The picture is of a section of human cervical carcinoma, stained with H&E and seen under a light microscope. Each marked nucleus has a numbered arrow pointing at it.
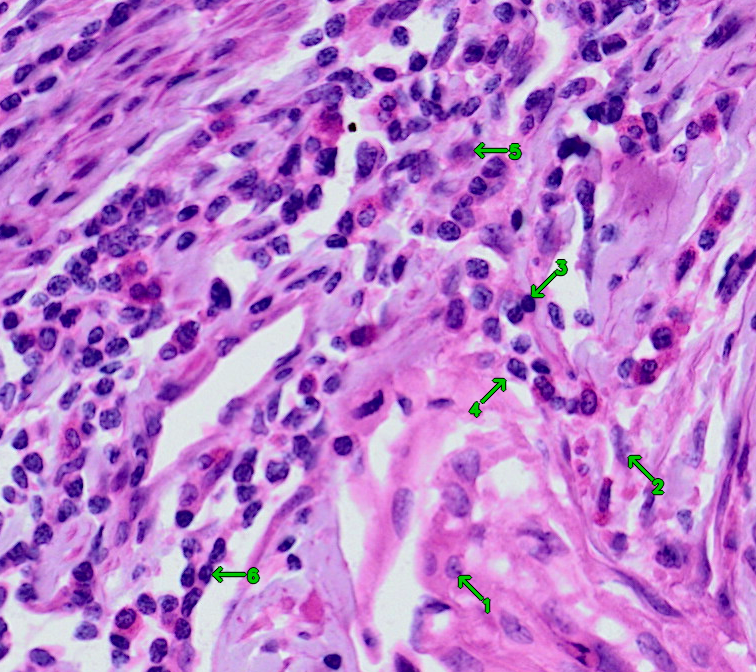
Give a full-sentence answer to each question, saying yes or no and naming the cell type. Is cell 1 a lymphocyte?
No, in terms of cell type, cell 1 is a squamous carcinoma cell, not a lymphocyte.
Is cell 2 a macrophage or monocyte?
No, the marker 2 sits on a fibroblast, not on a macrophage or monocyte.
